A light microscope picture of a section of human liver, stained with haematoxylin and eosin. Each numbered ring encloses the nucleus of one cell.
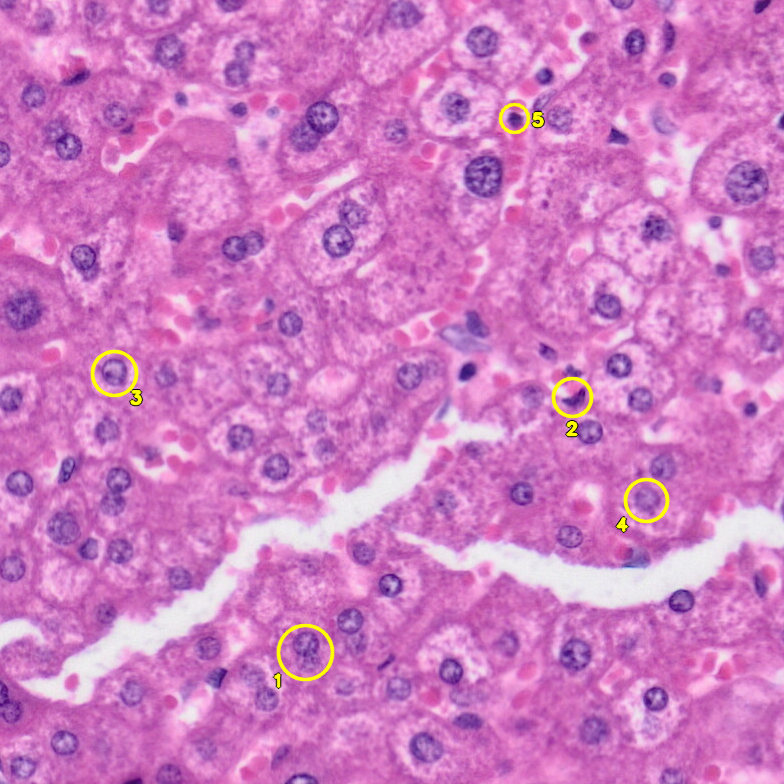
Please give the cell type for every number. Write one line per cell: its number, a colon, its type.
1: hepatocyte
2: endothelial cell
3: hepatocyte
4: hepatocyte
5: lymphocyte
